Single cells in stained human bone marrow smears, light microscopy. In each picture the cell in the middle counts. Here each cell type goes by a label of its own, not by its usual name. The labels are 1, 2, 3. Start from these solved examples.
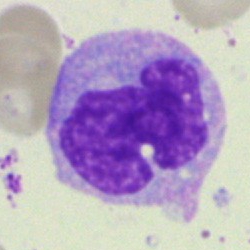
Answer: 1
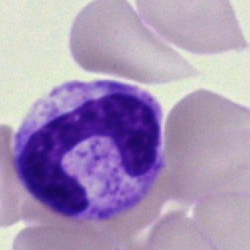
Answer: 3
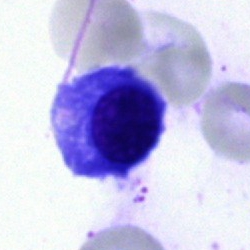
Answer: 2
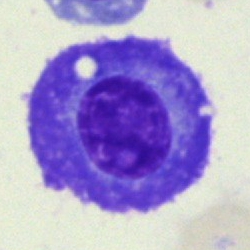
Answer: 2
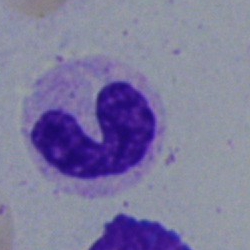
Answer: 3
